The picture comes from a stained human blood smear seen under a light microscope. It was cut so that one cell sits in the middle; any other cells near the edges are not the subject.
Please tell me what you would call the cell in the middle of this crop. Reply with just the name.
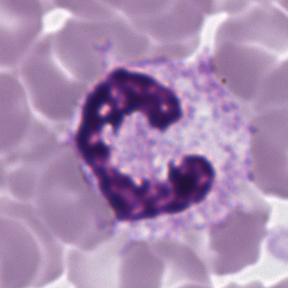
segmented neutrophil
